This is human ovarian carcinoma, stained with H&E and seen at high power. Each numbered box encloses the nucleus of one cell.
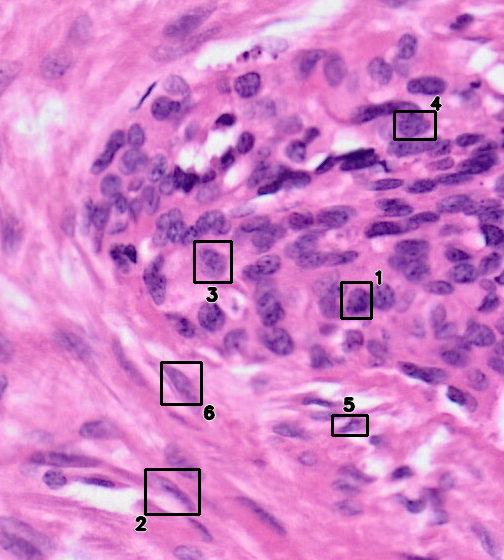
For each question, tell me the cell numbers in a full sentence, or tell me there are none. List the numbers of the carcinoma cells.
The cells that bear the numbers 1, 3 and 4 are carcinoma cells.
